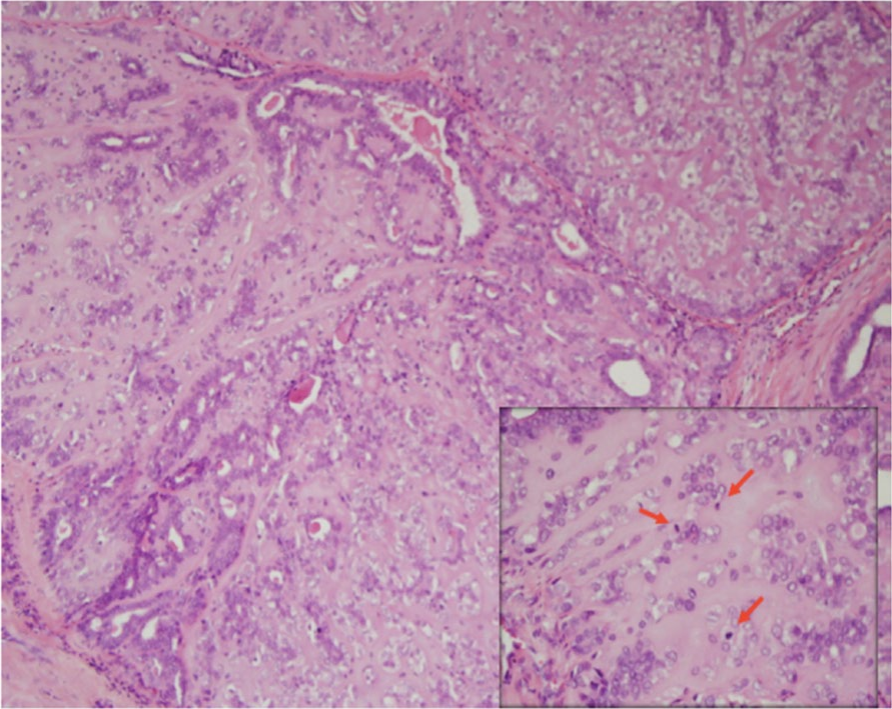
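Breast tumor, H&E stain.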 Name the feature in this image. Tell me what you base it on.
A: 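Pink fibrous bands divide the tumor into irregular lobules or nodules. The nodules vary in size and shape. On this evidence: irregular nodularity.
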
